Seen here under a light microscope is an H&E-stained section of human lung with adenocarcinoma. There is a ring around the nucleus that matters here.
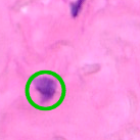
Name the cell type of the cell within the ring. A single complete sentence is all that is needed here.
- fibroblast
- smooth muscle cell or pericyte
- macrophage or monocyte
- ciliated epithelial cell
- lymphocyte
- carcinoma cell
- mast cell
Microscopically, the cell within the ring is categorized as a fibroblast.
